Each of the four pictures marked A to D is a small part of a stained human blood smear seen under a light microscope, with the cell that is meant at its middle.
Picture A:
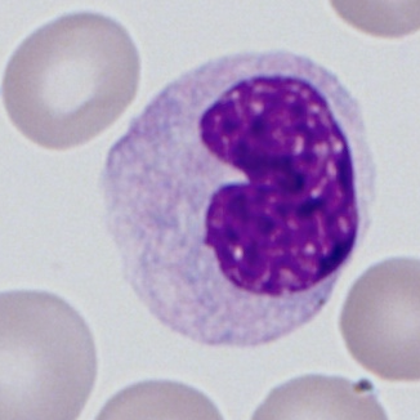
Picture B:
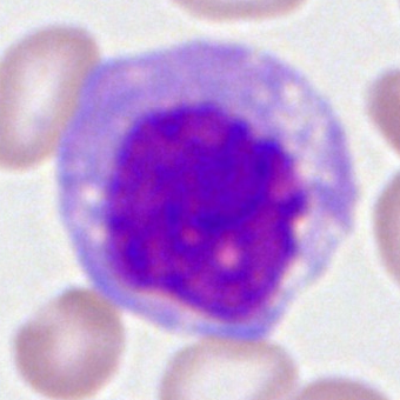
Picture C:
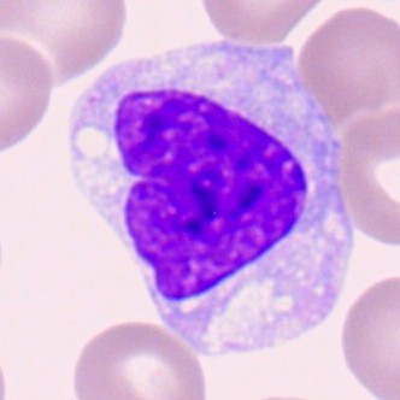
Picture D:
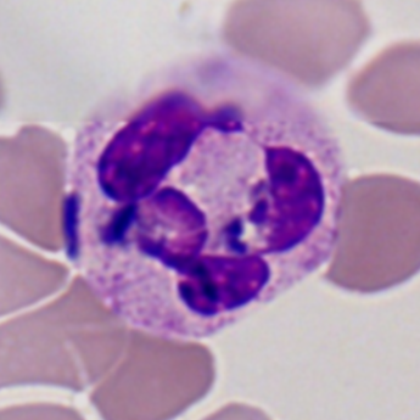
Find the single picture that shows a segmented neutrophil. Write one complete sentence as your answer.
It is picture D that shows the segmented neutrophil.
